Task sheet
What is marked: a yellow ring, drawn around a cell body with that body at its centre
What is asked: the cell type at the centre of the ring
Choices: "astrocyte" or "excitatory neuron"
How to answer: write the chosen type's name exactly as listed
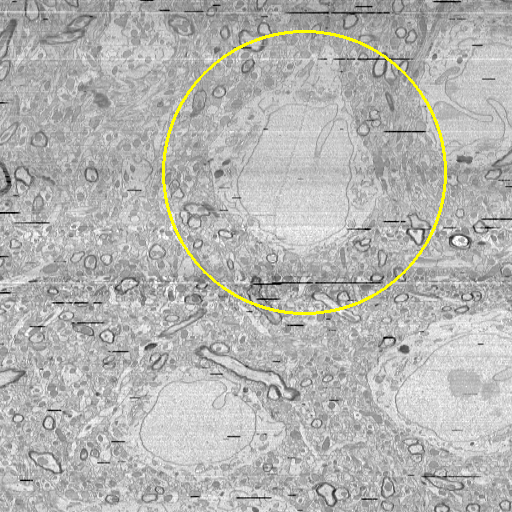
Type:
excitatory neuron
